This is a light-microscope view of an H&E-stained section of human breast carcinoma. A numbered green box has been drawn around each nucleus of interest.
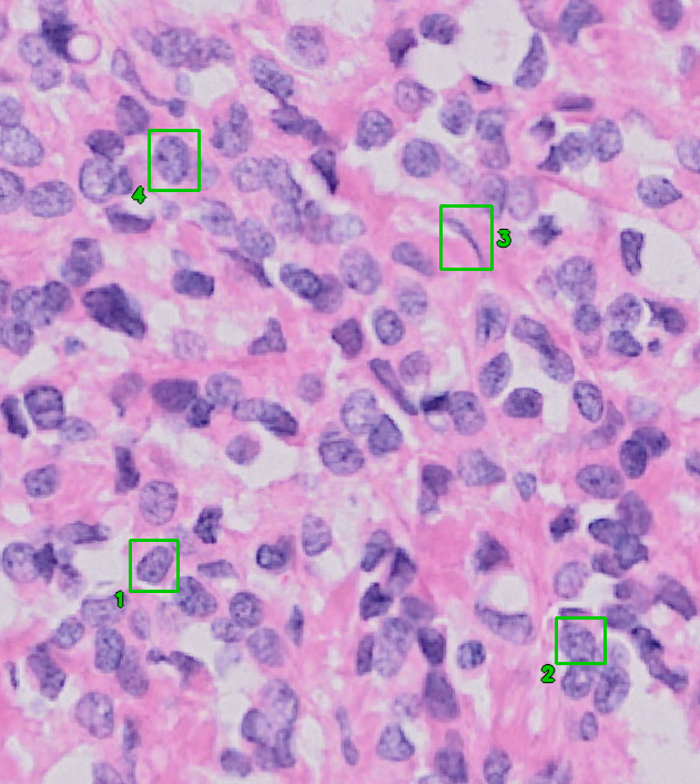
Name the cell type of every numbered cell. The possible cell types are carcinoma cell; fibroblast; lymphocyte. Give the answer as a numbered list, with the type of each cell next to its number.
1. carcinoma cell
2. carcinoma cell
3. fibroblast
4. carcinoma cell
